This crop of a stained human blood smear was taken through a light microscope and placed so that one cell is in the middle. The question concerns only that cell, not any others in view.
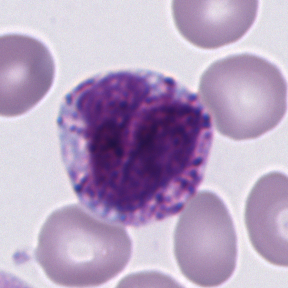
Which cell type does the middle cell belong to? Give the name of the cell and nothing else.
basophil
